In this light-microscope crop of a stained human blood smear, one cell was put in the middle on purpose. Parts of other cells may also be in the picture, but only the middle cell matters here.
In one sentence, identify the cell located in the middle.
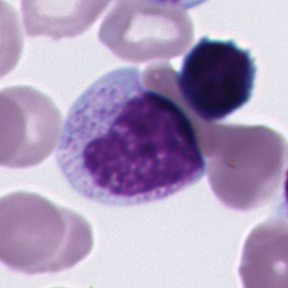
The single cell at the center of the crop is a myelocyte.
